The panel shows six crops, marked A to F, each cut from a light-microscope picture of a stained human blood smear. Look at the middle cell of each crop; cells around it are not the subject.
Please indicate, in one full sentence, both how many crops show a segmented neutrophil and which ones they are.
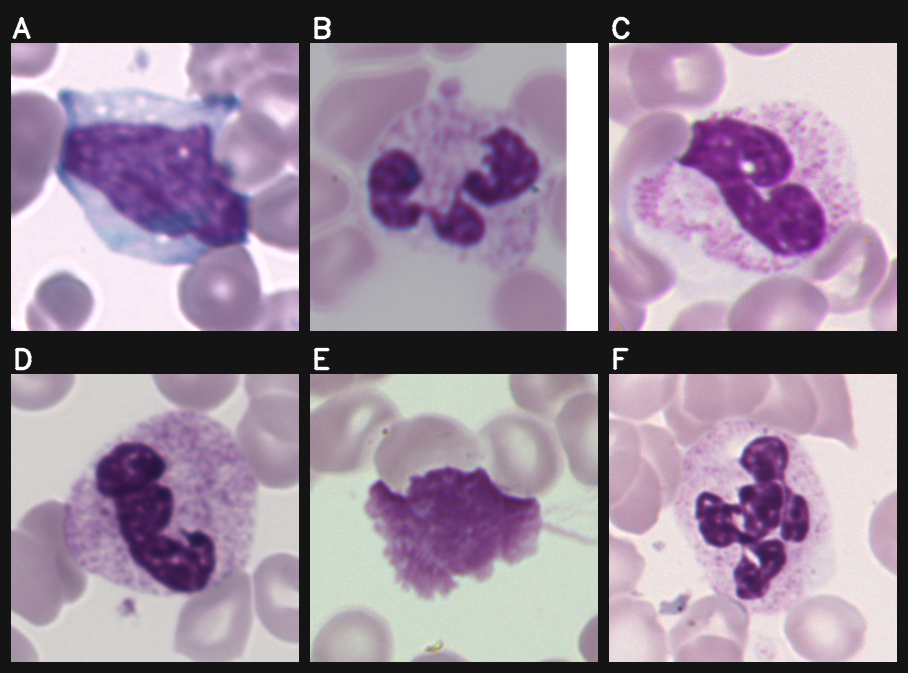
In total, four crops show segmented neutrophils, namely B, C, D and F.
